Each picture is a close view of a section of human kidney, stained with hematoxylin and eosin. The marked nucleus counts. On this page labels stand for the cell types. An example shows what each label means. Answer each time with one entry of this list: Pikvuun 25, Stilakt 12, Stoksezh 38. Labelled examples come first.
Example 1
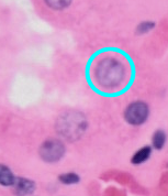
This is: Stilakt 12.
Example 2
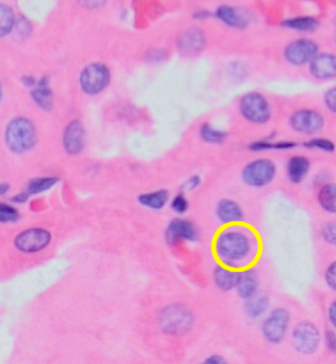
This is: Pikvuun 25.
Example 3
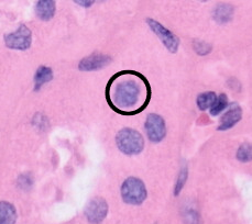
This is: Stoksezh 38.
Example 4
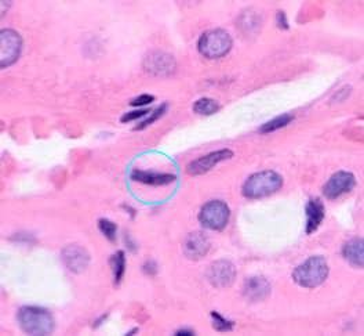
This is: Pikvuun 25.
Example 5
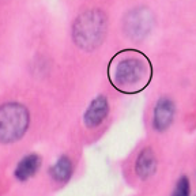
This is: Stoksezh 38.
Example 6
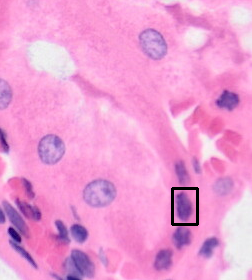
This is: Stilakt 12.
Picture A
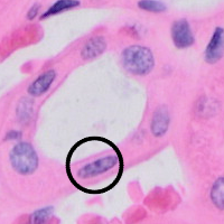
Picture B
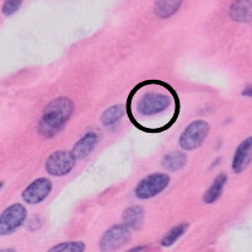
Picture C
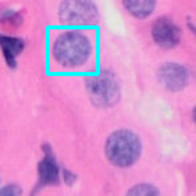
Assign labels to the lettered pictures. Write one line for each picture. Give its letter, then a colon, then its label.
A: Pikvuun 25.
B: Pikvuun 25.
C: Pikvuun 25.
